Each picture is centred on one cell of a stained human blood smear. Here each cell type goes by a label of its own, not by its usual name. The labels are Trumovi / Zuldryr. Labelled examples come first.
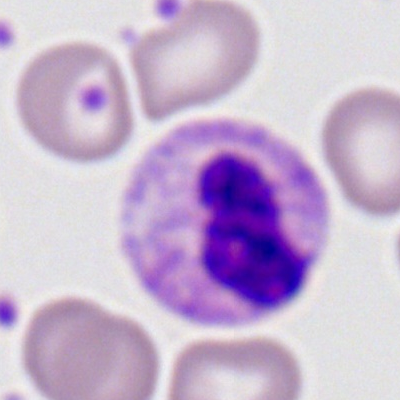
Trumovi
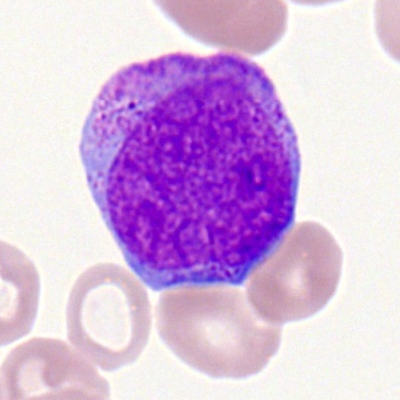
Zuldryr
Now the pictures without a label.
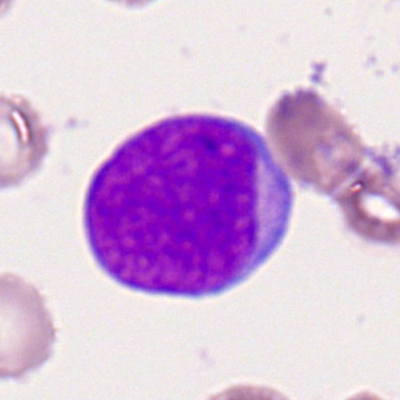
Zuldryr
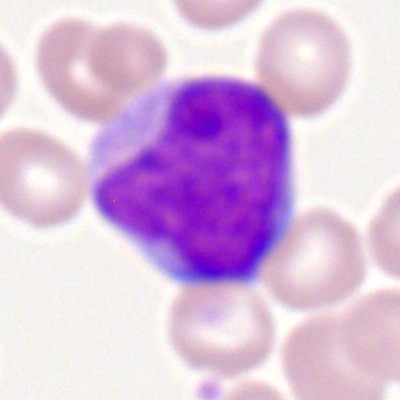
Zuldryr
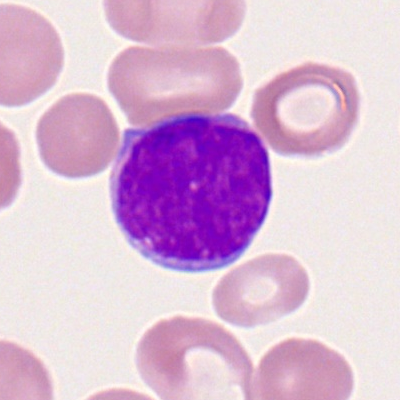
Zuldryr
